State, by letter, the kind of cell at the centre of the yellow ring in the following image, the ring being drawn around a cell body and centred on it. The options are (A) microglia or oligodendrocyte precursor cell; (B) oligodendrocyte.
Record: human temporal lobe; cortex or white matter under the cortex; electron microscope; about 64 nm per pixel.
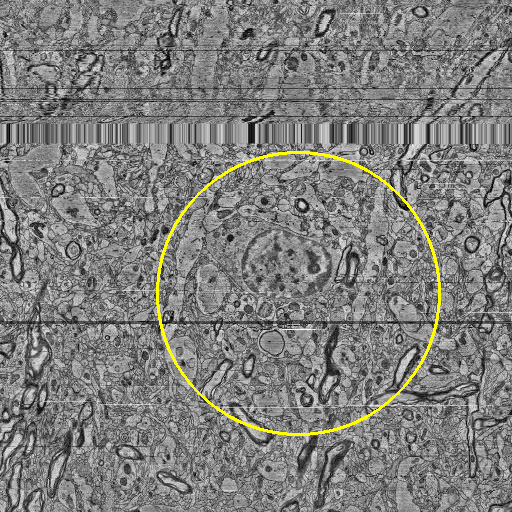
B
